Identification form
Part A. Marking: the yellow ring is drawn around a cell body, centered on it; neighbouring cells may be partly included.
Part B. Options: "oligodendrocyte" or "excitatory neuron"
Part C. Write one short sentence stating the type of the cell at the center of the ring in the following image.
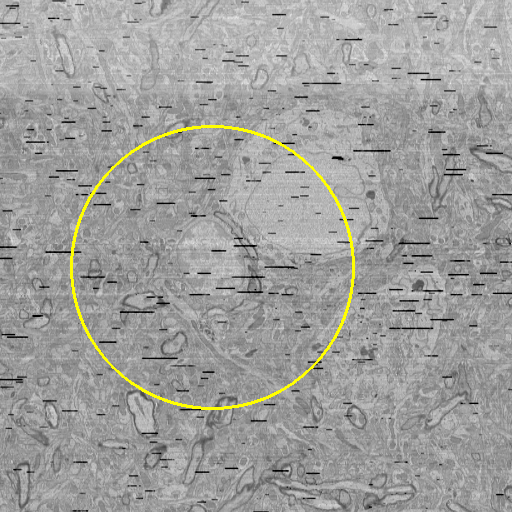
The center of the ring holds an oligodendrocyte.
